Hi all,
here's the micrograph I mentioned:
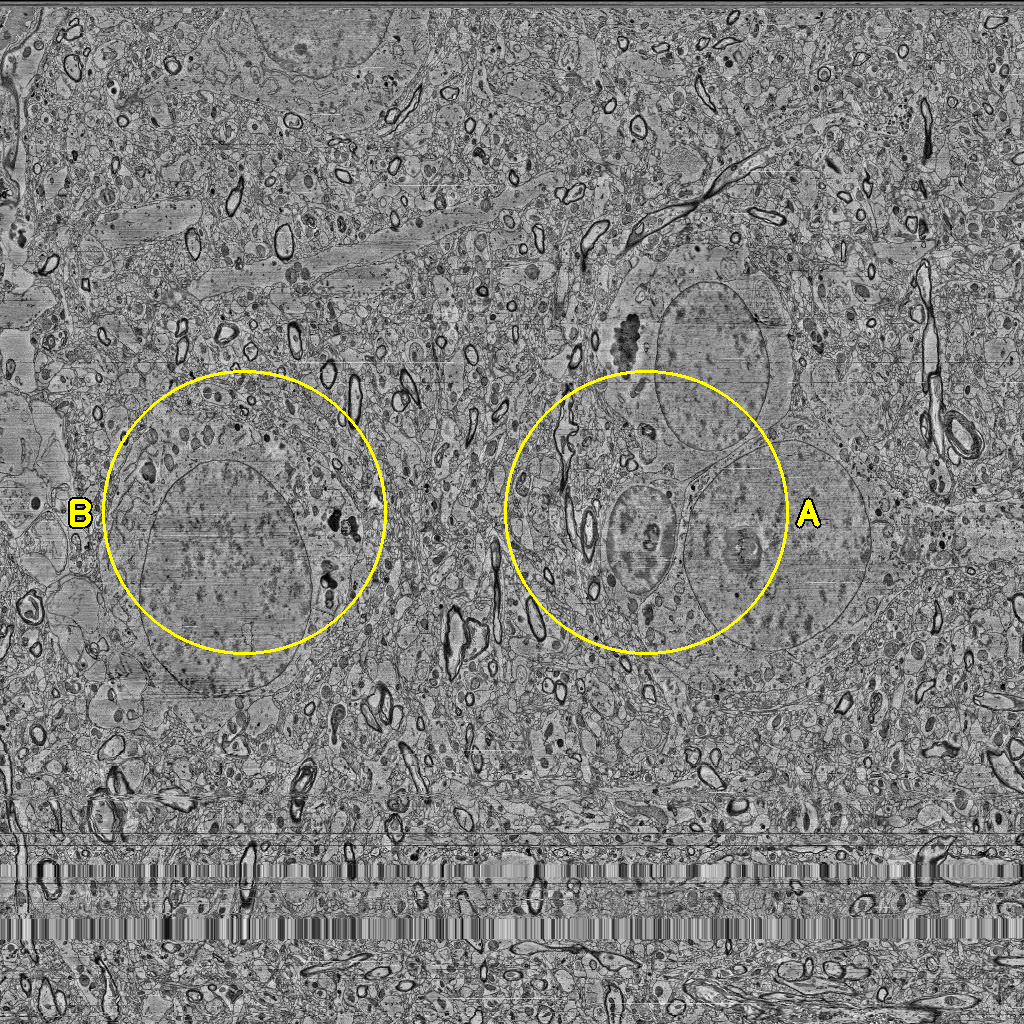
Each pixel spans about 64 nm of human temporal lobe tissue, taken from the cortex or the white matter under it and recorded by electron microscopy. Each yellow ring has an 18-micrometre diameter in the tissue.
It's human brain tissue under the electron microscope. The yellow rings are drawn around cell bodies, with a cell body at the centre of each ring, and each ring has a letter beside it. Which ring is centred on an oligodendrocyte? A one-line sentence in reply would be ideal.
It's the one labelled A.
